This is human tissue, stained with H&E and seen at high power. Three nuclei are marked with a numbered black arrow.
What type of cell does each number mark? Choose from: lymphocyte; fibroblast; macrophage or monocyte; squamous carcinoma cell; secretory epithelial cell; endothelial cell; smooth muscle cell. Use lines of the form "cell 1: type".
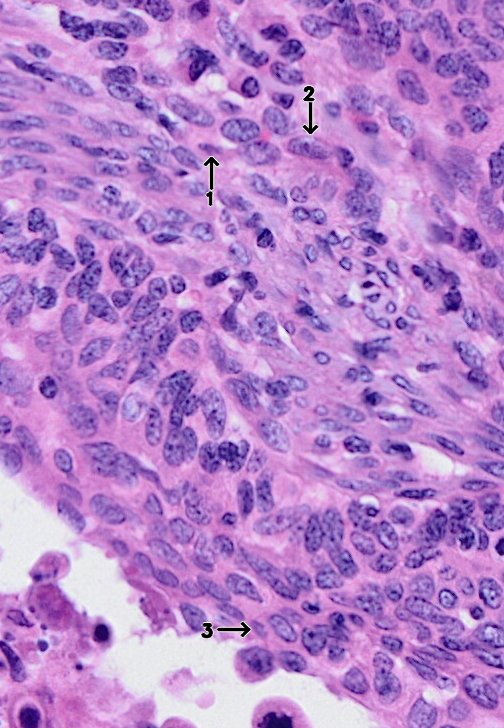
cell 1: endothelial cell
cell 2: endothelial cell
cell 3: squamous carcinoma cell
